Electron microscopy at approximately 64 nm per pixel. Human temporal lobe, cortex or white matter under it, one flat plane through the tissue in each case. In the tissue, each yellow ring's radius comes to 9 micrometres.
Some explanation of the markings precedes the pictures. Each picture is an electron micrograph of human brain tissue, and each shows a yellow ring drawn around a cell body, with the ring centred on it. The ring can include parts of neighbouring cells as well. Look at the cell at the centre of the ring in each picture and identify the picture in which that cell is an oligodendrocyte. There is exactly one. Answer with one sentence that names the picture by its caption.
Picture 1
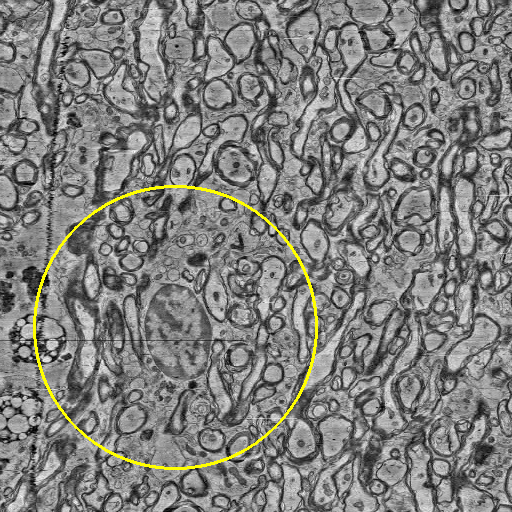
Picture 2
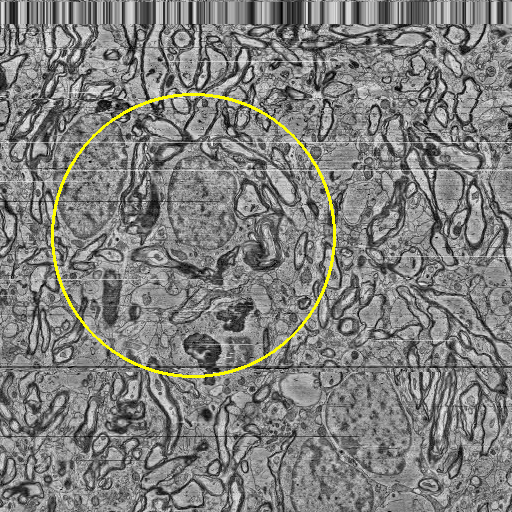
In Picture 2, the cell at the centre of the ring is of that kind.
